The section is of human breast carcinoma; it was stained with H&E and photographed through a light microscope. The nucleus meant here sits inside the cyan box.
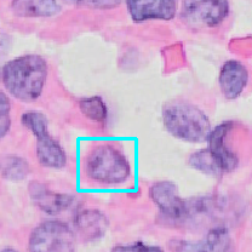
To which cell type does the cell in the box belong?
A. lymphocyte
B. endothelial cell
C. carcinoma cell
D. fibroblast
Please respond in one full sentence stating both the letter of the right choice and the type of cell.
Option C is the one that fits, as the cell in the box is a carcinoma cell.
